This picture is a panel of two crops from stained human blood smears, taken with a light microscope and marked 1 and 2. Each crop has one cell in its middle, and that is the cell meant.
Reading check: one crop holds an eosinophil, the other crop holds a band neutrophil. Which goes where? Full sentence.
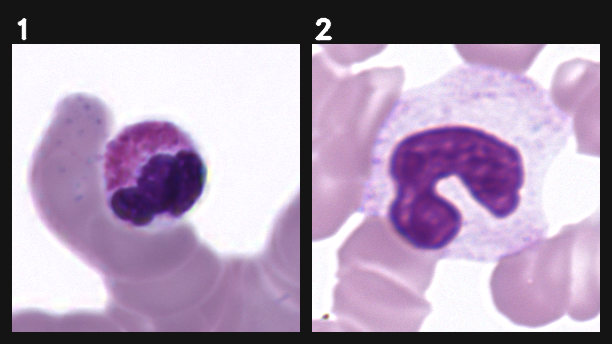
To sum up the two crops, crop 1 is an eosinophil and crop 2 is a band neutrophil.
